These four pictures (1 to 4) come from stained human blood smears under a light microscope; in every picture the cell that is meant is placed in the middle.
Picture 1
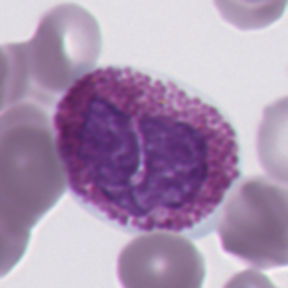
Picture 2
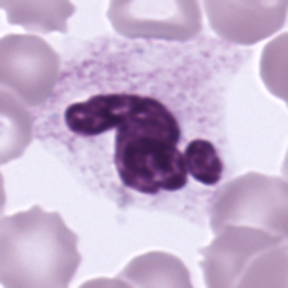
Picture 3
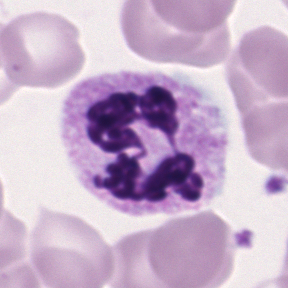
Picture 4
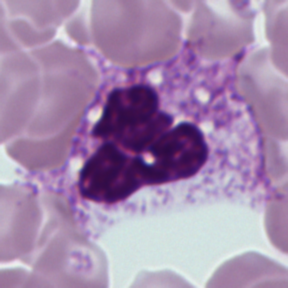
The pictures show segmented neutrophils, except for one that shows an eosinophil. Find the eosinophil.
1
